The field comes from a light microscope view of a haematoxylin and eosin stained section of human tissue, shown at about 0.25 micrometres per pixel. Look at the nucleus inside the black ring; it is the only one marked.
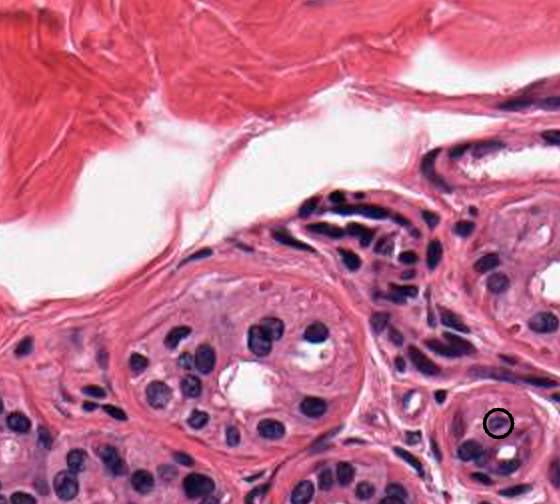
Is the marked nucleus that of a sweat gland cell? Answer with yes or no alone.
yes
